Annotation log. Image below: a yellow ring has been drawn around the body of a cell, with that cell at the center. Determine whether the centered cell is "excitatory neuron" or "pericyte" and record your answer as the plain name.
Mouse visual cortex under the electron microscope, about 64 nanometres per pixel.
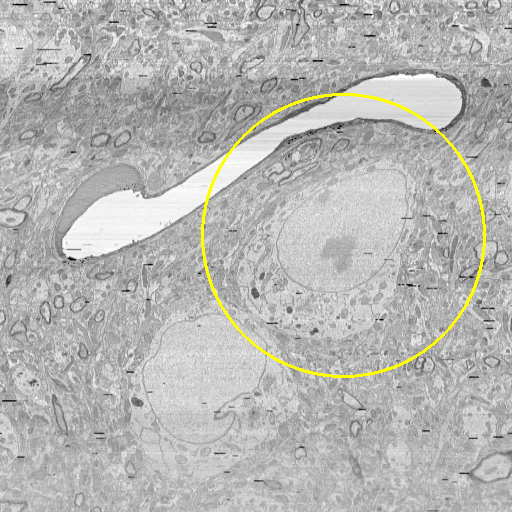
excitatory neuron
